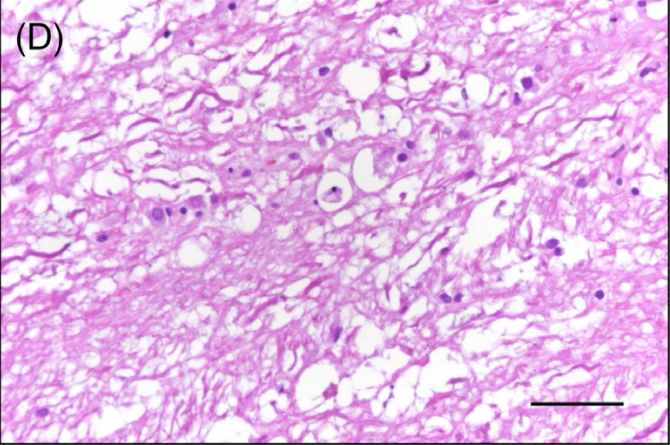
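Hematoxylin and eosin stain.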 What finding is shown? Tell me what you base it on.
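Dilated myelin sheaths. Many round clear spaces lie in pale pink fibrillar tissue. Some clear spaces contain a rounded cell.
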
